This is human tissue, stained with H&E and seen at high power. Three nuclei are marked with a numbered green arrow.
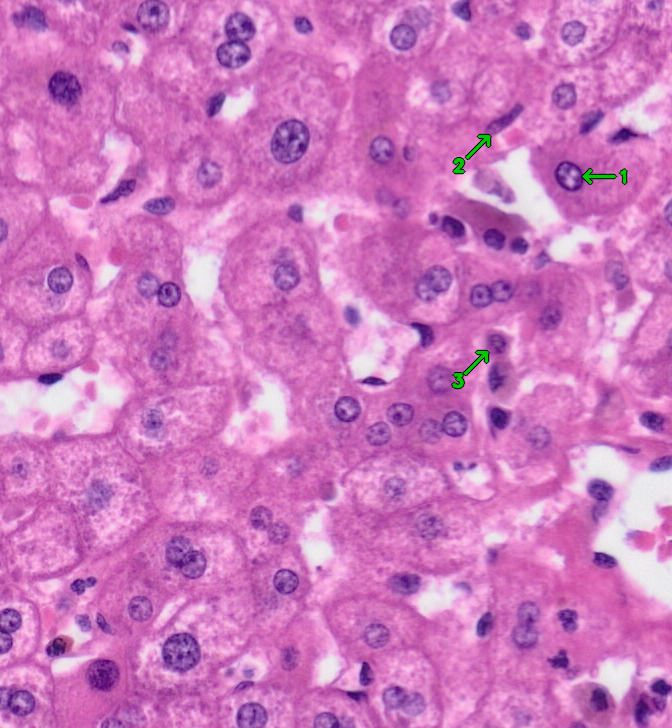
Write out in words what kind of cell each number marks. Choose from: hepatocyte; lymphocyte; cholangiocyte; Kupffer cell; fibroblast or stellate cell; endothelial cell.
Cell 1 is a hepatocyte, cell 2 is a Kupffer cell and cell 3 is a Kupffer cell.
